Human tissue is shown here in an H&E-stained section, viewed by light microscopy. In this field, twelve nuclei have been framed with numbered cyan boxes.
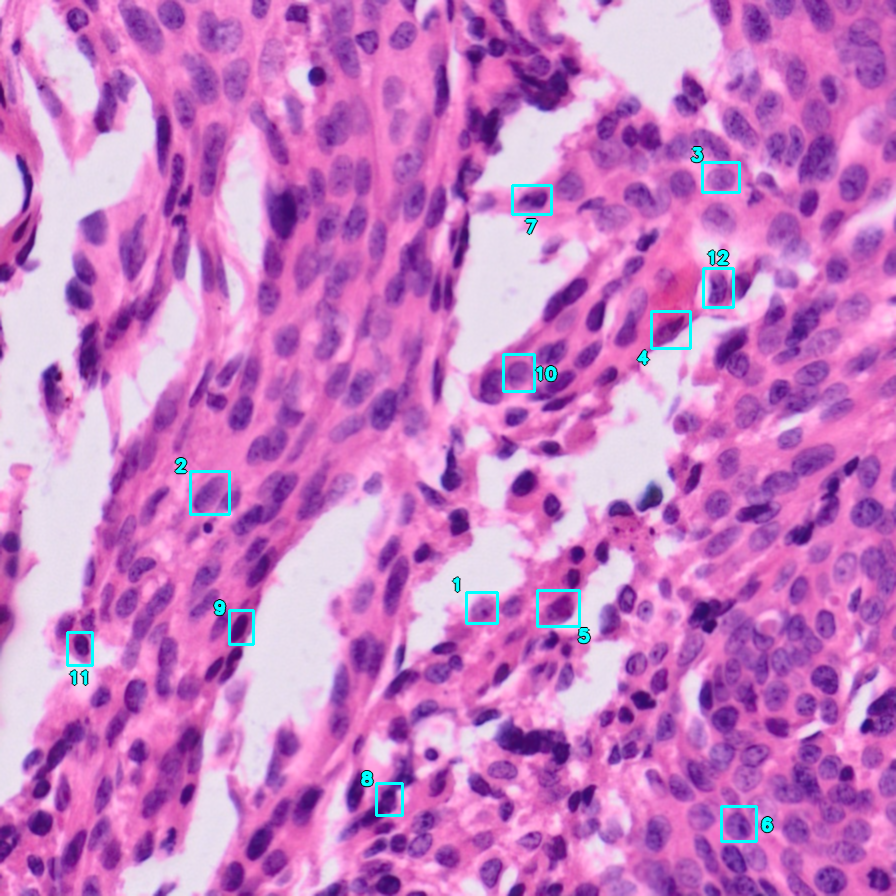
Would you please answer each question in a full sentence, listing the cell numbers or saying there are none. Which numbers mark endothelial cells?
Cell 4 is the one numbered cell that is an endothelial cell.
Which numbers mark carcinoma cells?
The numbers 2, 3, 5, 6, 8, 9 and 10 in this section indicate carcinoma cells.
